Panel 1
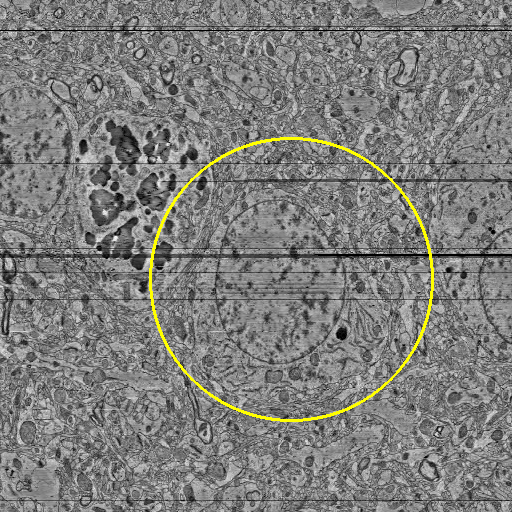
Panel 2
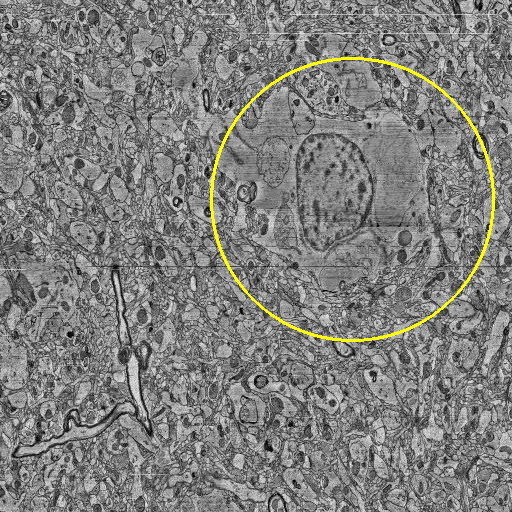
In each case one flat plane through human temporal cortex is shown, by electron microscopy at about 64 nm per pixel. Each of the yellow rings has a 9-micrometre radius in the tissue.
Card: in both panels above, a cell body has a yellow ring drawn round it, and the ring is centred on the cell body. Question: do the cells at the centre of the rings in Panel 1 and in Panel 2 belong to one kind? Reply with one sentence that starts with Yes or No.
No, the cells centred in the rings of Panel 1 and Panel 2 are two kinds of cell.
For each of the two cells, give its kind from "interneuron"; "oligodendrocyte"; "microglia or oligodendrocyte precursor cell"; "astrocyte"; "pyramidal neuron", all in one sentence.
The first picture has a pyramidal neuron in its ring, the second has an astrocyte.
